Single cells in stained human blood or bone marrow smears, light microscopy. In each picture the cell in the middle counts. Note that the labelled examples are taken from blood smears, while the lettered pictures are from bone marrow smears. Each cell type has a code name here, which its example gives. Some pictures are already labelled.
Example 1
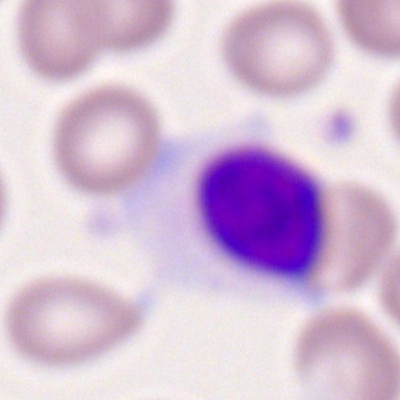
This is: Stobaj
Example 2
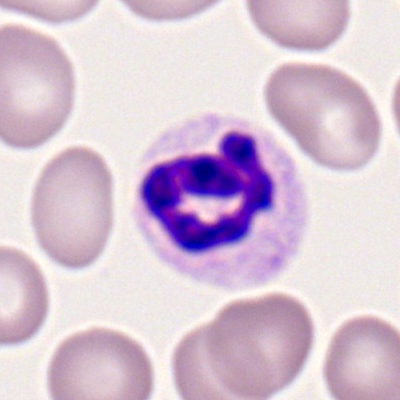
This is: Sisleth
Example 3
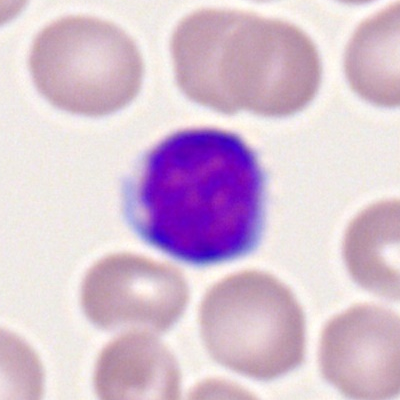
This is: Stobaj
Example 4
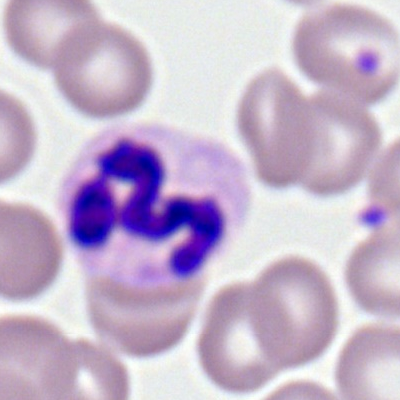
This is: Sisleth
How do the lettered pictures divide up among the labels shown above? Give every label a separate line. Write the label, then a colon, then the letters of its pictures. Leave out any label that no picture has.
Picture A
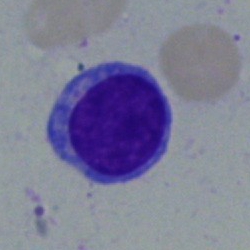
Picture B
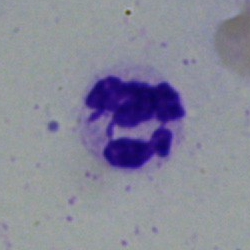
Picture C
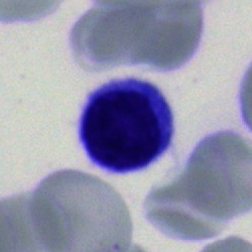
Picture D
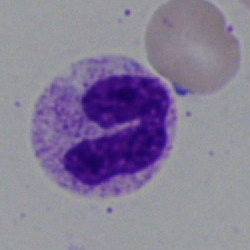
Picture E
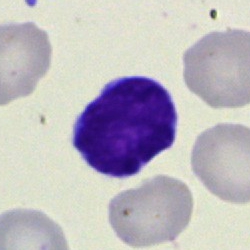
Stobaj: A, C, E
Sisleth: B, D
